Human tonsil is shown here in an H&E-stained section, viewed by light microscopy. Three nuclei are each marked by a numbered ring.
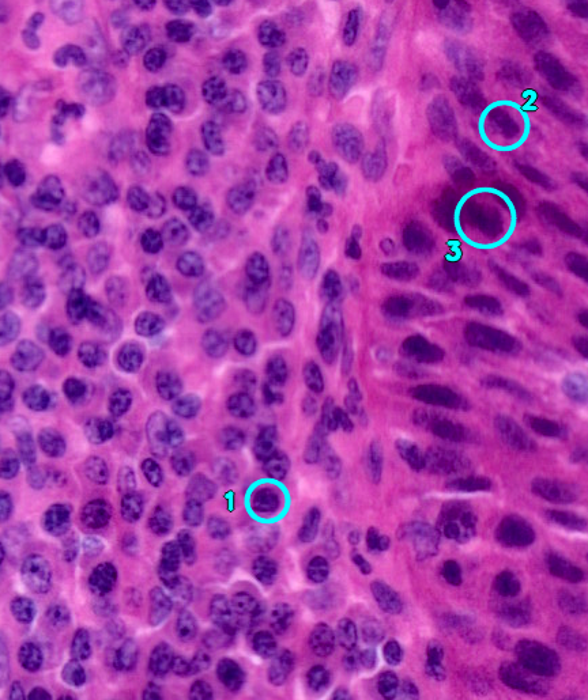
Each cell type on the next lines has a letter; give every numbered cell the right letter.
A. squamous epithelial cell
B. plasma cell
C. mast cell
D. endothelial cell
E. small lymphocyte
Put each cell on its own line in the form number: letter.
1: B
2: A
3: A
